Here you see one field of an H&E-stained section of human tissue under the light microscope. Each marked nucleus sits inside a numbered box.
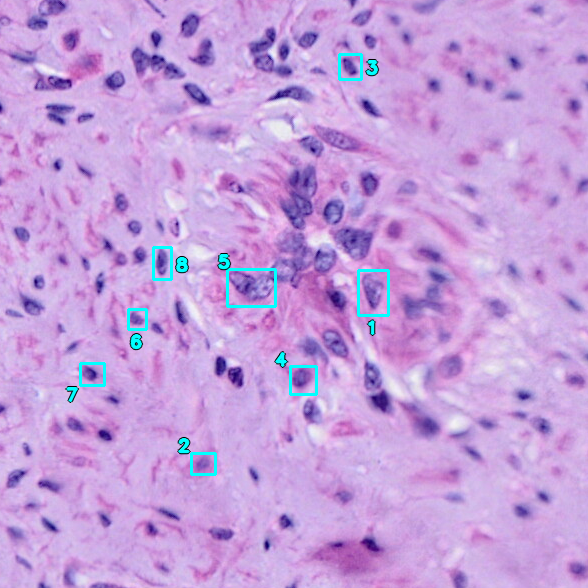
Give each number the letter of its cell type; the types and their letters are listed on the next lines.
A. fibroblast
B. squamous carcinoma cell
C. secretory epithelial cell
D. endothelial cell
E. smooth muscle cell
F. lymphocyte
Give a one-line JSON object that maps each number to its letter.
{"1": "D", "2": "E", "3": "E", "4": "E", "5": "D", "6": "E", "7": "E", "8": "A"}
